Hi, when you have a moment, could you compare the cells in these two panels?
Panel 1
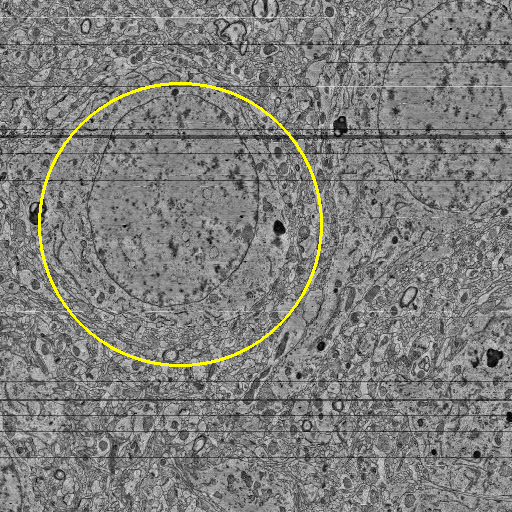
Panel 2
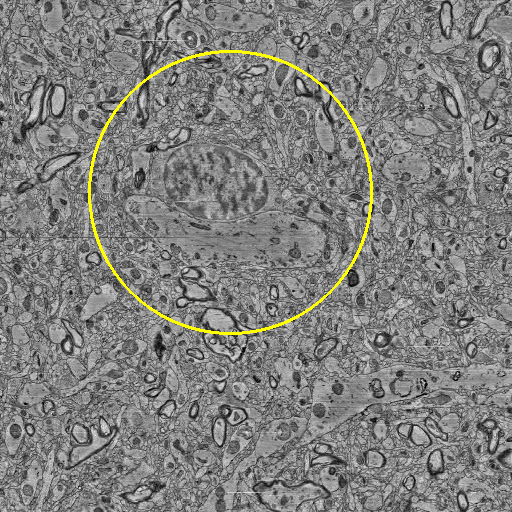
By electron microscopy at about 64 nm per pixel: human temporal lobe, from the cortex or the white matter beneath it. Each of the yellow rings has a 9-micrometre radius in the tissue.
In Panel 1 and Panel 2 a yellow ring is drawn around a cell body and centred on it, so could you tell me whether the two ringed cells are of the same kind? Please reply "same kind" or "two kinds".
two kinds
